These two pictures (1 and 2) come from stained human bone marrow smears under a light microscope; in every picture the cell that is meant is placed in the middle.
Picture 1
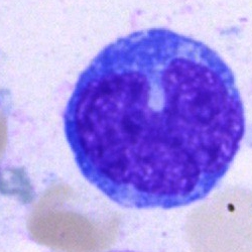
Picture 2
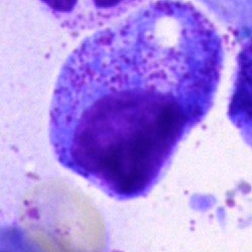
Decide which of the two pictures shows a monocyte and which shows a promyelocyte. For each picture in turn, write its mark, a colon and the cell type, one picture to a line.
1: monocyte
2: promyelocyte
